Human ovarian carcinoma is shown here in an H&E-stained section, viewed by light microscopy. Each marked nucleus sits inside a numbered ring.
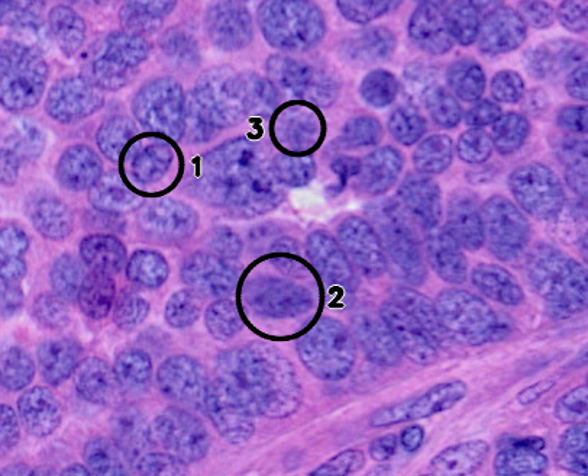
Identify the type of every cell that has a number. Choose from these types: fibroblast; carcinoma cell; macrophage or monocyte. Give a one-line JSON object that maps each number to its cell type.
{"1": "macrophage or monocyte", "2": "carcinoma cell", "3": "carcinoma cell"}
